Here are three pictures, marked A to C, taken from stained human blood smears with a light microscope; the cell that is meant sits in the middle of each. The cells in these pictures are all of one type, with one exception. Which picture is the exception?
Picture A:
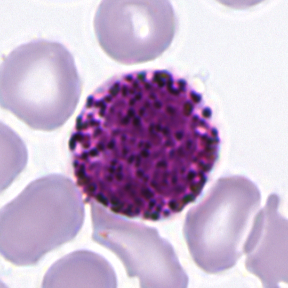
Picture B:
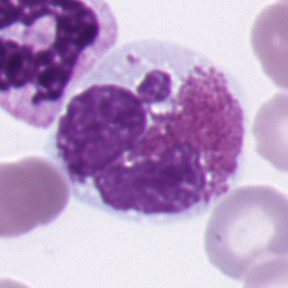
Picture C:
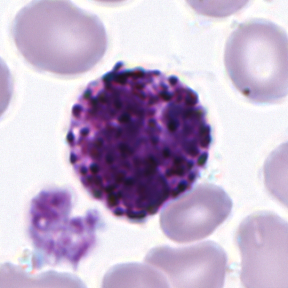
B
